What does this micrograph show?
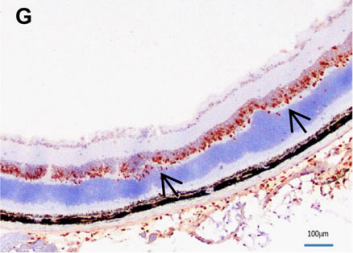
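This is a cross-section through the retina with its layers running in a curve across the field. Many brown-stained nuclei crowd a band in the inner part of the retina, above a thicker blue band of packed nuclei. The blue band is wavy and uneven in places, and the arrows point to brown-stained cells along its edges. A dark pigmented band lies beneath, and below it loose tissue also holds scattered brown-stained cells.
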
